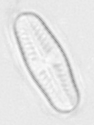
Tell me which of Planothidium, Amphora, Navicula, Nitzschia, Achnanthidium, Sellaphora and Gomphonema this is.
The picture shows Sellaphora.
